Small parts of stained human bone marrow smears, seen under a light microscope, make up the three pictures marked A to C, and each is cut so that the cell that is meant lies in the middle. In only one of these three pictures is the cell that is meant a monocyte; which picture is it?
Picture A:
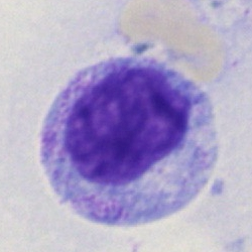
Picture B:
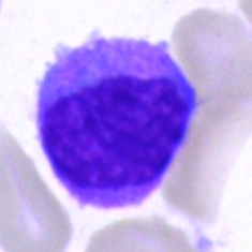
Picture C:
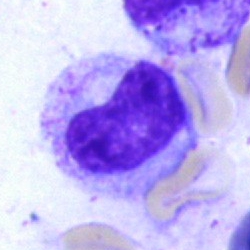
B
